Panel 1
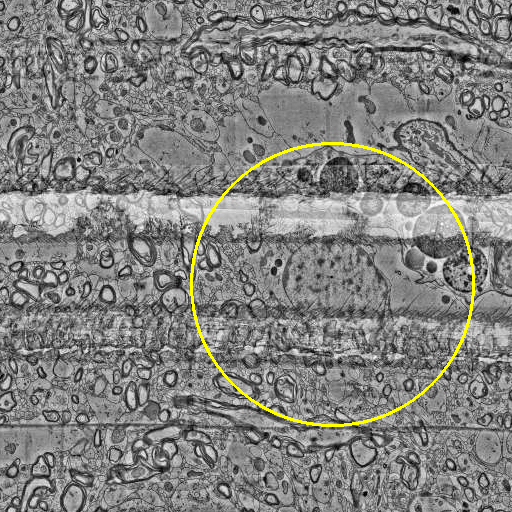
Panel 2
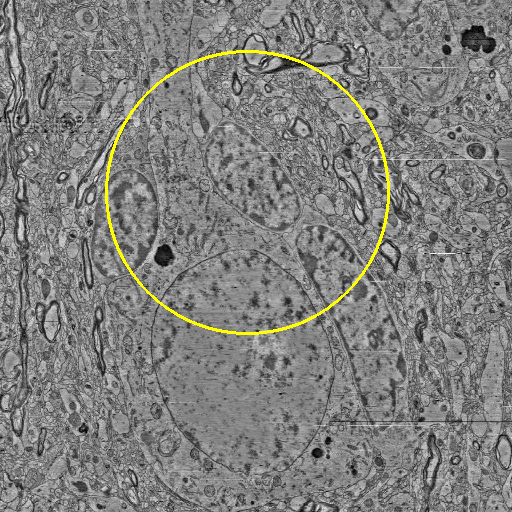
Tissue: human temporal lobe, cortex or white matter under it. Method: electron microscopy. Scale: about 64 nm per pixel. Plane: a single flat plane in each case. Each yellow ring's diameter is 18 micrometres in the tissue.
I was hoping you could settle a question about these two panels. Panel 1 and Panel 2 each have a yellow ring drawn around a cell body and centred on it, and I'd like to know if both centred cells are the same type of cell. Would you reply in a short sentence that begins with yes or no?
Yes, both are the same type of cell.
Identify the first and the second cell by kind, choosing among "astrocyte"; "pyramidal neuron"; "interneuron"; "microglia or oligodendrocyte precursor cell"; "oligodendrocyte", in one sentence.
Each of the two pictures has a microglial cell or oligodendrocyte precursor cell at the ring centre.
